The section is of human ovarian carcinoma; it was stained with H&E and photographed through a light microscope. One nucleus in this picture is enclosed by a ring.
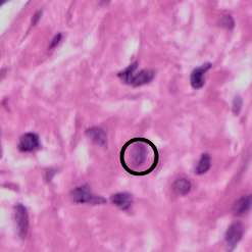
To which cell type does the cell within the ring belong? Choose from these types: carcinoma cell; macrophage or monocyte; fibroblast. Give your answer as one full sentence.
Students should answer that the cell within the ring is a fibroblast.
